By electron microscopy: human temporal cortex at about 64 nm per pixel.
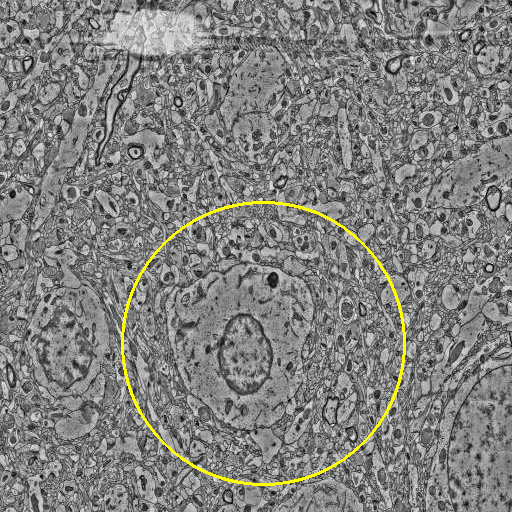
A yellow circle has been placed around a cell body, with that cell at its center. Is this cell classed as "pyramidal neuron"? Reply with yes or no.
Yes, it belongs to that class.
